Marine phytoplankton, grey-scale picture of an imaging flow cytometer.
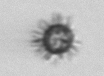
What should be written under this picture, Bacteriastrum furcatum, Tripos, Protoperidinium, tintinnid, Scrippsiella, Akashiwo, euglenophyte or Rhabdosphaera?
Rhabdosphaera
